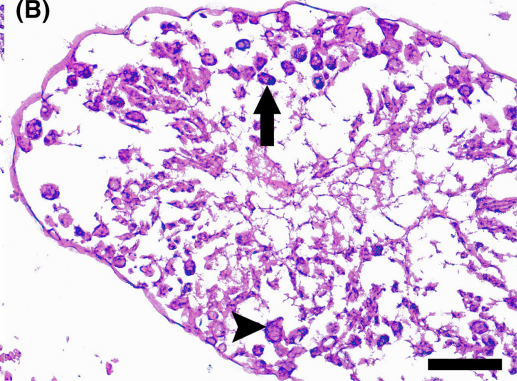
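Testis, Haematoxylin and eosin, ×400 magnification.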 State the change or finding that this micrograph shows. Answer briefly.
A: Severe reduction of cell population.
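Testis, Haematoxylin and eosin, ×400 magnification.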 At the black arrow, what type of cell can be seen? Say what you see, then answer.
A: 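The arrow points to a small rounded cell with a dark round nucleus. The cell lies isolated in a sparsely populated tubule. The answer: spermatogonia.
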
